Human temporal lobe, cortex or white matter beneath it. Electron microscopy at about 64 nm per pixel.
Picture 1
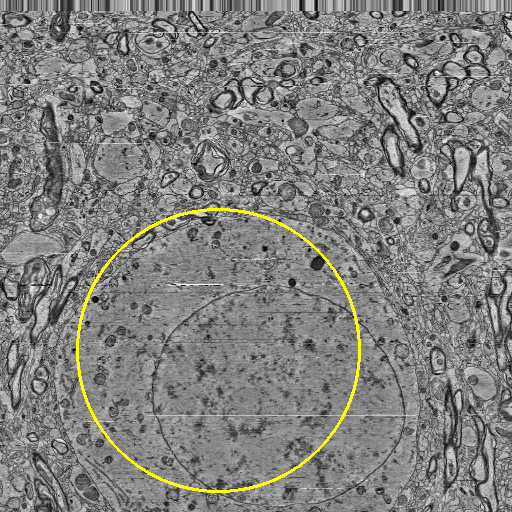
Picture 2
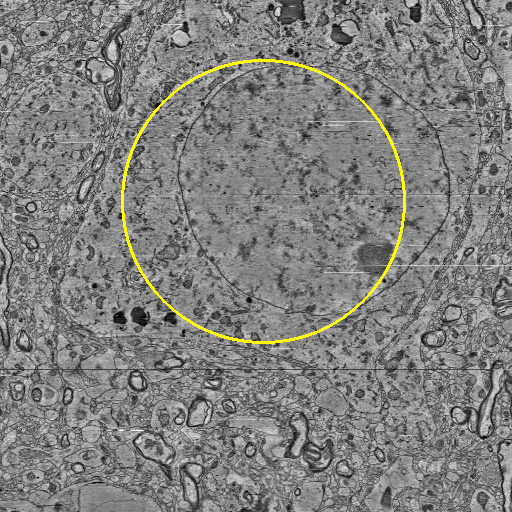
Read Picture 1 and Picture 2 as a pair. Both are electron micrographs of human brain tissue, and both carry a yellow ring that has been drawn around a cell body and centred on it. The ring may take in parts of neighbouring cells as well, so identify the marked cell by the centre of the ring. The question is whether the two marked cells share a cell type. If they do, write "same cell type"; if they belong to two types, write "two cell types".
same cell type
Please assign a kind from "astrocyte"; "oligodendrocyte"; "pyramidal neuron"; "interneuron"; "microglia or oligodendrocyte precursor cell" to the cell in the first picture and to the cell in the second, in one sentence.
Both cells are the same kind, each one being a pyramidal neuron.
